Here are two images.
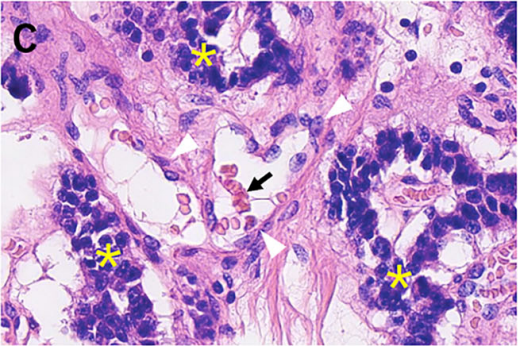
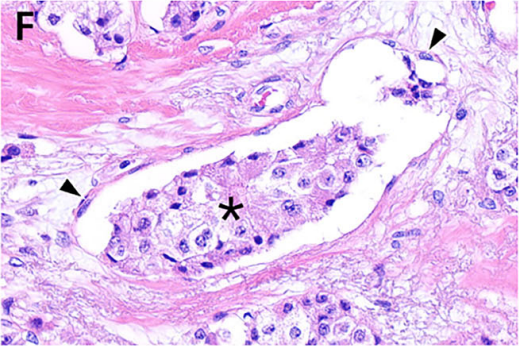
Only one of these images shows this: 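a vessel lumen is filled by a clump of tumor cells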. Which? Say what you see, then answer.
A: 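Second image: an elongated vessel lumen holds a cohesive cluster of large cells with round nuclei. First image: the vessel lumina hold only red blood cells and clear space, with tumor cells outside them. The answer: the second image.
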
